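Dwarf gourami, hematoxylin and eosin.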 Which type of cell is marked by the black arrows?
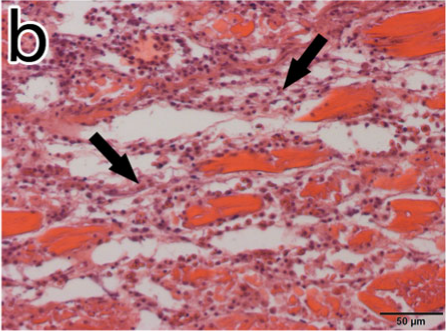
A: Inflammatory cells.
